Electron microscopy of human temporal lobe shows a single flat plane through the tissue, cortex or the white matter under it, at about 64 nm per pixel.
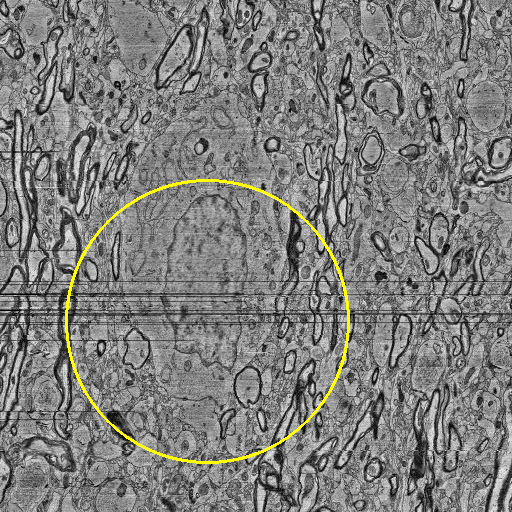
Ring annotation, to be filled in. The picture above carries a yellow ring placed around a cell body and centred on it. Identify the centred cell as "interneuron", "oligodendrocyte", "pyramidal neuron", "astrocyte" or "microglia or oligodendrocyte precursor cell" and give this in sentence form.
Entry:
The cell in the middle of the ring is an interneuron.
